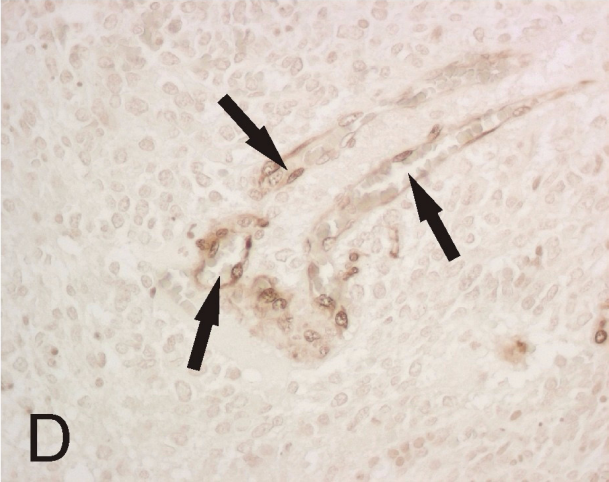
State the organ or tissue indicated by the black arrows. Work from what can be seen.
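Endothelium of small blood vessels. The arrows point to flattened, elongated nuclei lining narrow branching channels. The brown stain lies in the lining cells of these channels. The surrounding densely packed round nuclei are largely unstained.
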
